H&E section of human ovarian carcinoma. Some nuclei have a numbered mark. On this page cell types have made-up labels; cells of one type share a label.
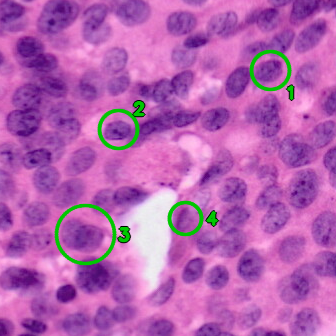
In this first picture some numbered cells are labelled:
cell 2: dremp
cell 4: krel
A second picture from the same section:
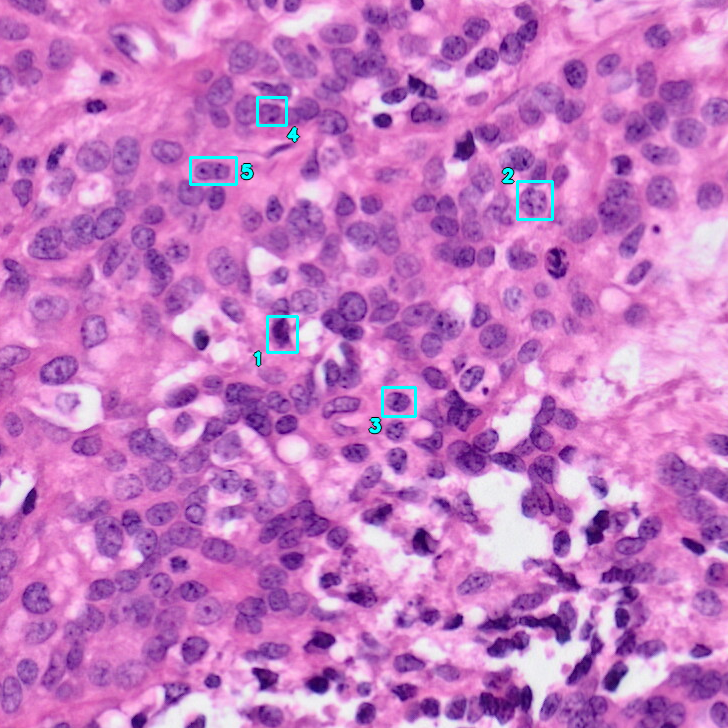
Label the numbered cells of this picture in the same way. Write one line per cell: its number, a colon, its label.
1: krel
2: dremp
3: dremp
4: krel
5: dremp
